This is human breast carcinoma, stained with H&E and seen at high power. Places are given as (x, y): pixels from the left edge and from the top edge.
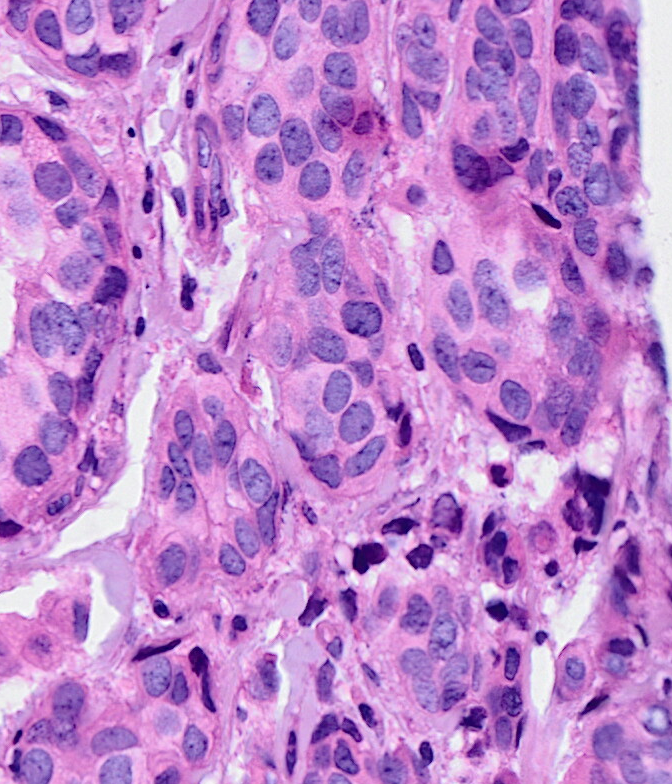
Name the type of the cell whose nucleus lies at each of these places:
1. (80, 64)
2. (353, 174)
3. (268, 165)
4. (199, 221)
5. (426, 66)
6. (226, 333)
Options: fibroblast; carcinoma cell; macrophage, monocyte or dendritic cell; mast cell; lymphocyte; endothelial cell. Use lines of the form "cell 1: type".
cell 1: carcinoma cell
cell 2: carcinoma cell
cell 3: carcinoma cell
cell 4: endothelial cell
cell 5: carcinoma cell
cell 6: fibroblast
